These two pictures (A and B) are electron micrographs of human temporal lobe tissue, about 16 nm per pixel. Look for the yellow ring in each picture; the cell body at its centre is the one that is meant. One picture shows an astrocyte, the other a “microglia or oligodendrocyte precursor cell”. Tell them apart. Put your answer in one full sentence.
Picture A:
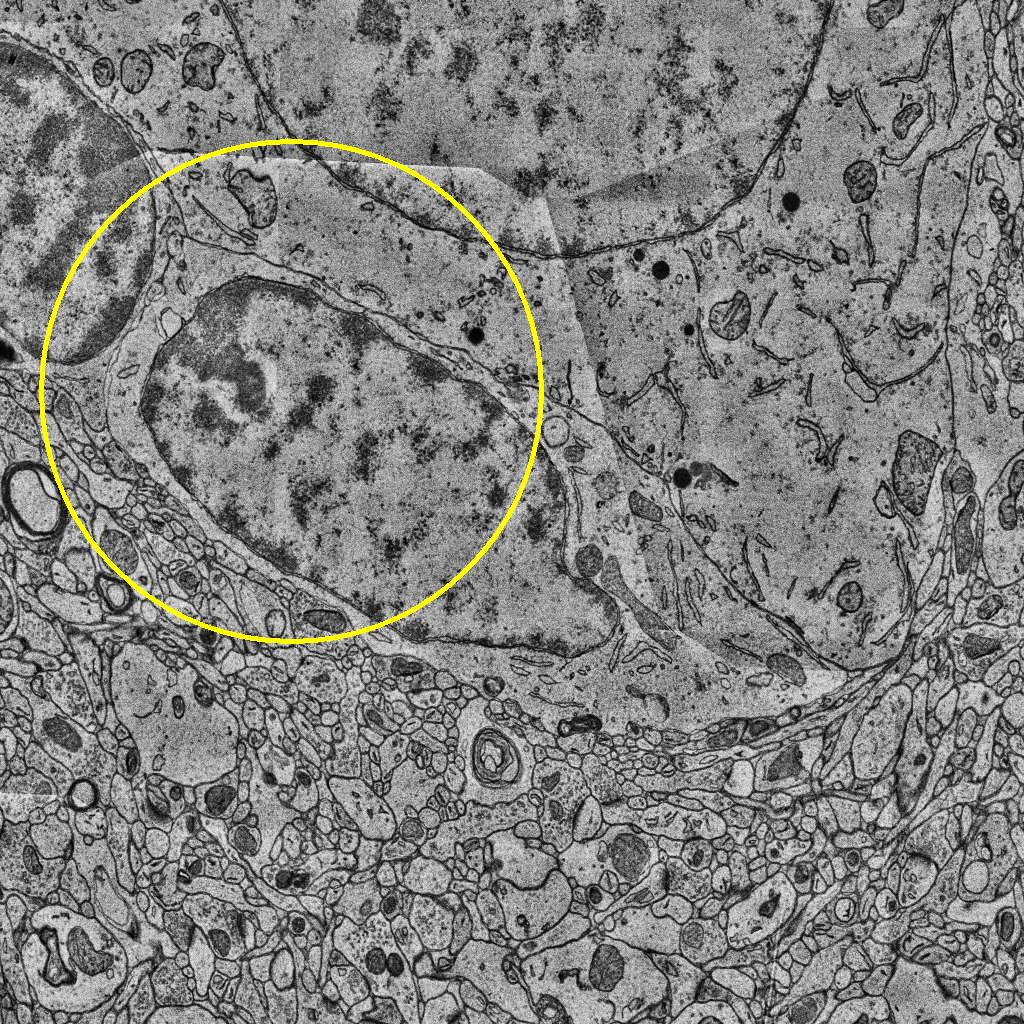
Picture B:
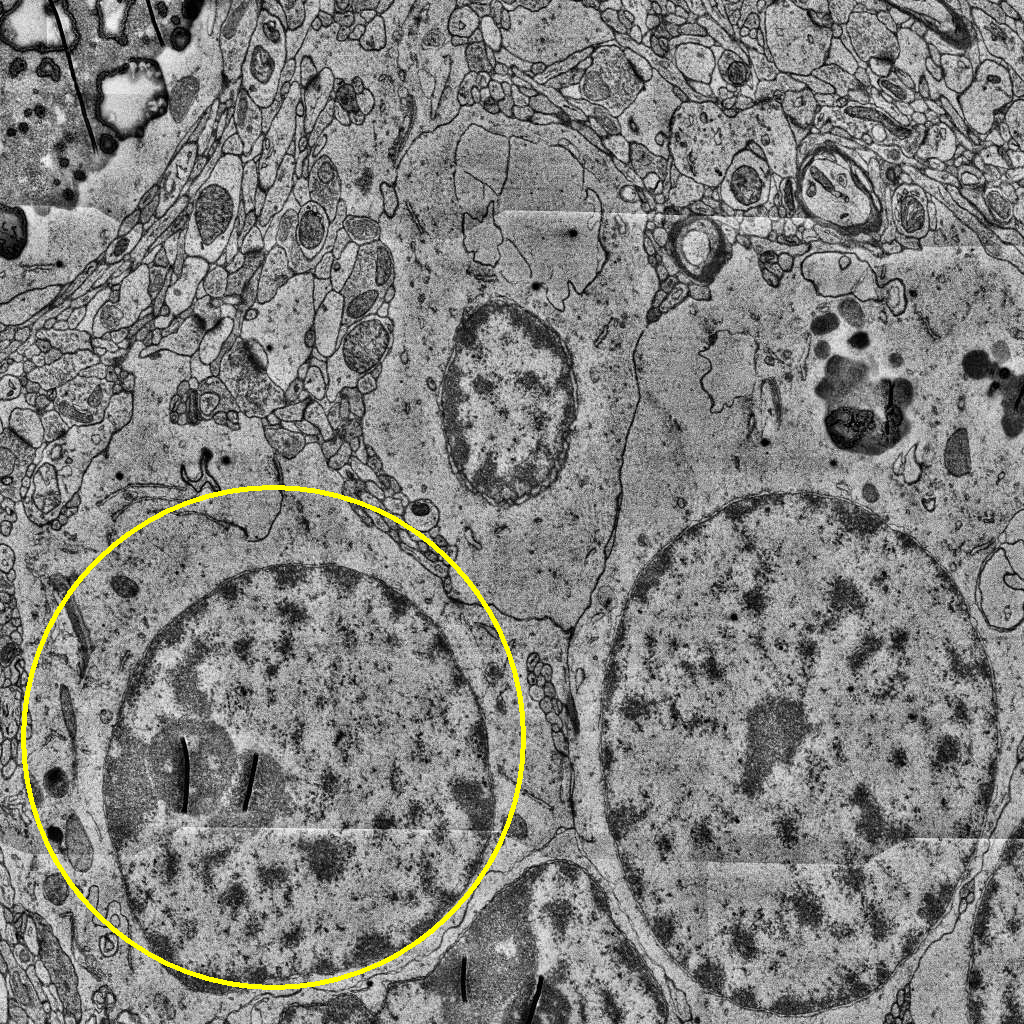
Picture B shows an astrocyte, while picture A shows a “microglia or oligodendrocyte precursor cell”.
